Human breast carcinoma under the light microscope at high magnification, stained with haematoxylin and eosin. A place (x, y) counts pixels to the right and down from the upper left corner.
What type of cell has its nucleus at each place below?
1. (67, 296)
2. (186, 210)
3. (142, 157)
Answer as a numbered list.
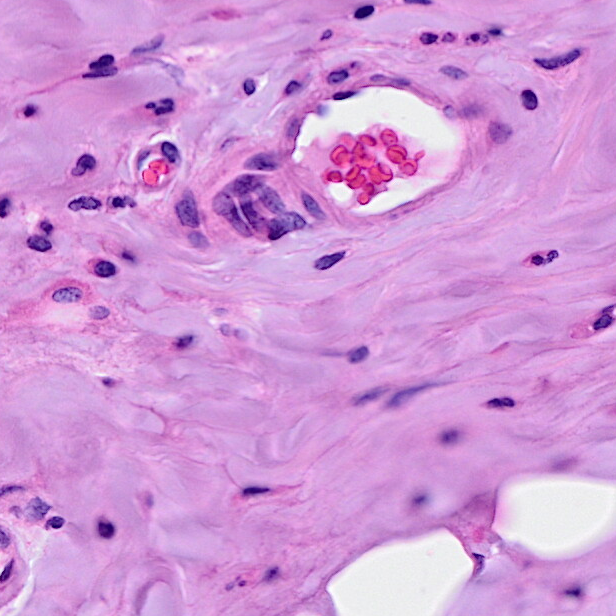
1. mast cell
2. endothelial cell
3. endothelial cell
